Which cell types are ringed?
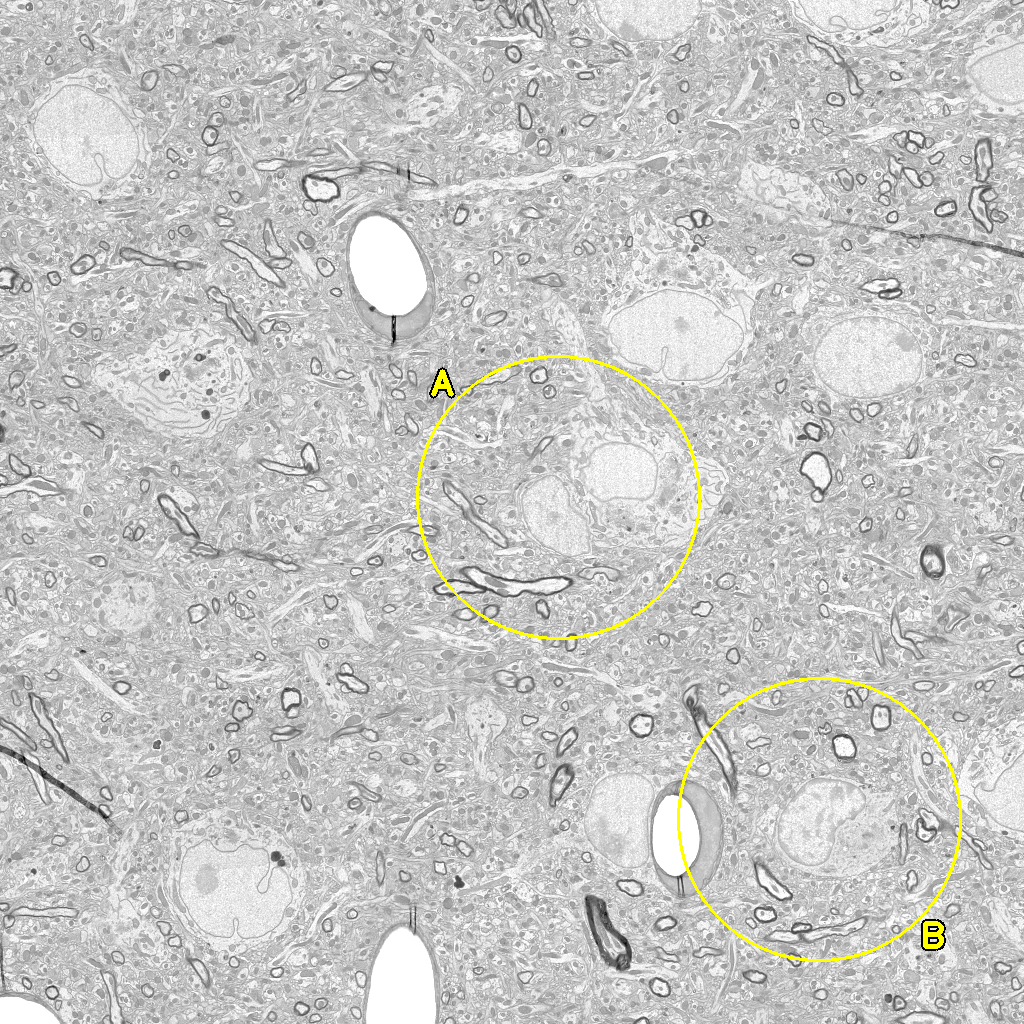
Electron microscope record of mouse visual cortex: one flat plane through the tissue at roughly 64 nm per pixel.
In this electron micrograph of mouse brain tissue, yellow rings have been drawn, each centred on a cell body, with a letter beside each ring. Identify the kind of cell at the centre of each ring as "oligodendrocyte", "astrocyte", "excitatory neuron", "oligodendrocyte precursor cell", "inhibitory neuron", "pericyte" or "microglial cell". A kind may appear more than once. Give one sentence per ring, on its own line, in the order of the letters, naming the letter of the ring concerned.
Ring A is drawn on an oligodendrocyte precursor cell.
Ring B is drawn on an oligodendrocyte.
